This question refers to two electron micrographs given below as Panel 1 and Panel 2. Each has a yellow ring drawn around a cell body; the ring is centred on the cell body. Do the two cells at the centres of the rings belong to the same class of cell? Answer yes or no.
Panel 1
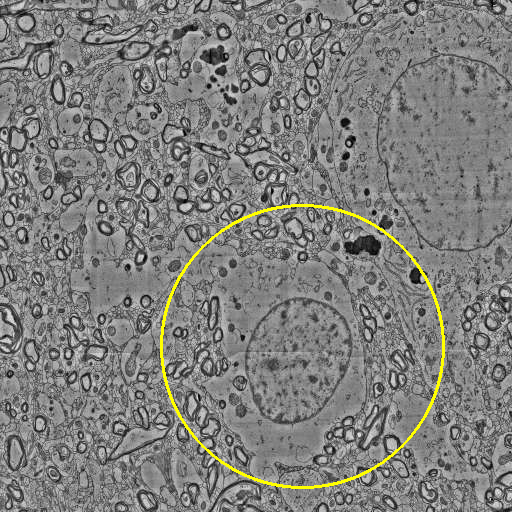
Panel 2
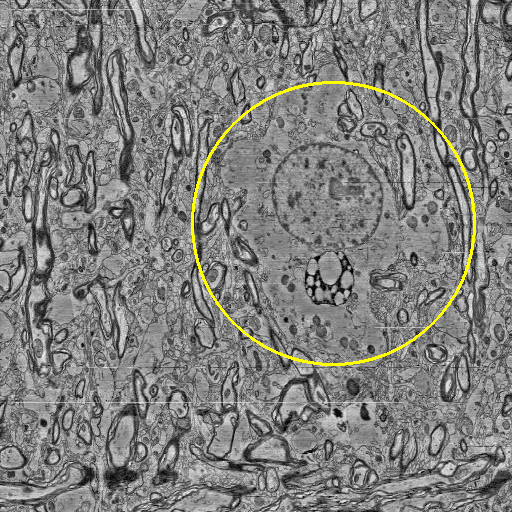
yes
